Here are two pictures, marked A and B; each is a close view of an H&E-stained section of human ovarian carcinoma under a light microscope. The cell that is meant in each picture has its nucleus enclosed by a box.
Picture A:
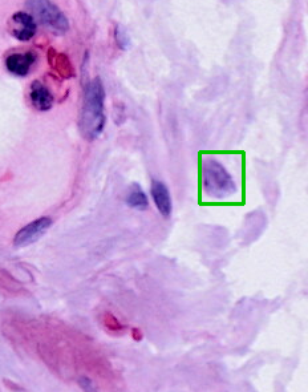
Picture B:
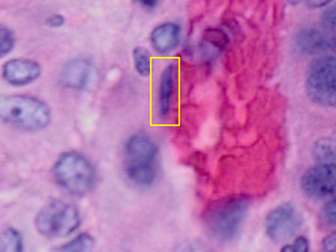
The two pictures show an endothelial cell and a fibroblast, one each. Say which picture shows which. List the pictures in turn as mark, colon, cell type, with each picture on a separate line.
A: fibroblast
B: endothelial cell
